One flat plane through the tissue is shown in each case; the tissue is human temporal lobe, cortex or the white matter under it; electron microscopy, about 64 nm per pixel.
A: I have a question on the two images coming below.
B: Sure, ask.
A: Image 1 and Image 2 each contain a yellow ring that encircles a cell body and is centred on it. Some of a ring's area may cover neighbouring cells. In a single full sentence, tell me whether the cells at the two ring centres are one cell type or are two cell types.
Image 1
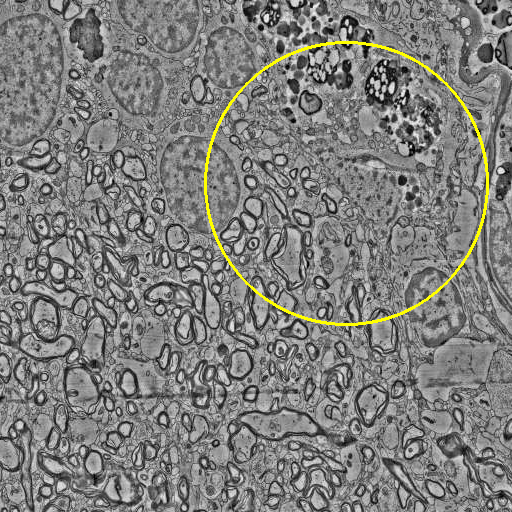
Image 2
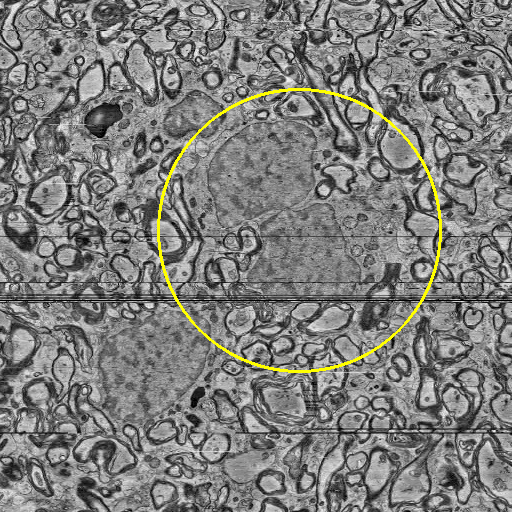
As for the ring-centre cells, the one in Image 1 and the one in Image 2 are two cell types.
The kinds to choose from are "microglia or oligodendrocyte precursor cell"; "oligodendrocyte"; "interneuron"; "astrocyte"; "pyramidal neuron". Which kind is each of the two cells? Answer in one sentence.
Of the two, the first cell is an astrocyte and the second cell is an oligodendrocyte.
